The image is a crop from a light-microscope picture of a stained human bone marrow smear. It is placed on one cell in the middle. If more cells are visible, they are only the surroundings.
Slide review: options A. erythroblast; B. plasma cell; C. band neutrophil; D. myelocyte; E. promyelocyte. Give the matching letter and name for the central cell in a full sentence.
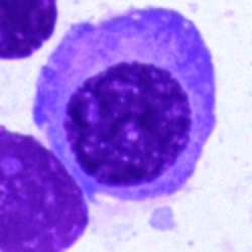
The cell centred in the crop is a plasma cell, and the correct option is thus B.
